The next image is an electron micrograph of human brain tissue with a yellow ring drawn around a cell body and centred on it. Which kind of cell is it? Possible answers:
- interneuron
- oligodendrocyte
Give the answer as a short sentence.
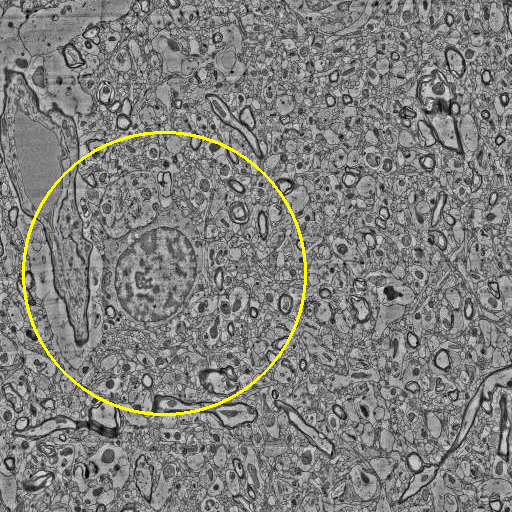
In the ring's centre is an oligodendrocyte.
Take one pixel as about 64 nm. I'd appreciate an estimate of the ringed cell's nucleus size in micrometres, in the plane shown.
About 6 by 5 micrometers for the nucleus, in this plane.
